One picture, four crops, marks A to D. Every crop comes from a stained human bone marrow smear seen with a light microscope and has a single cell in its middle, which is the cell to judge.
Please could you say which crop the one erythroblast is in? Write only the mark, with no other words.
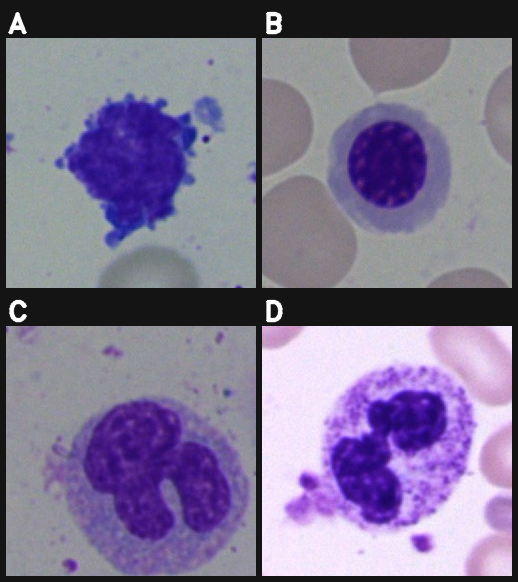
B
